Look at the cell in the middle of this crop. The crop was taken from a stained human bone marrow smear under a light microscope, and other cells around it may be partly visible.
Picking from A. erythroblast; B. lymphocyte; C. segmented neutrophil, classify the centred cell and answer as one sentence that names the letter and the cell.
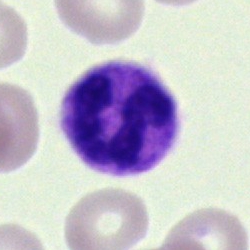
That cell in the center is a segmented neutrophil, hence option C.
